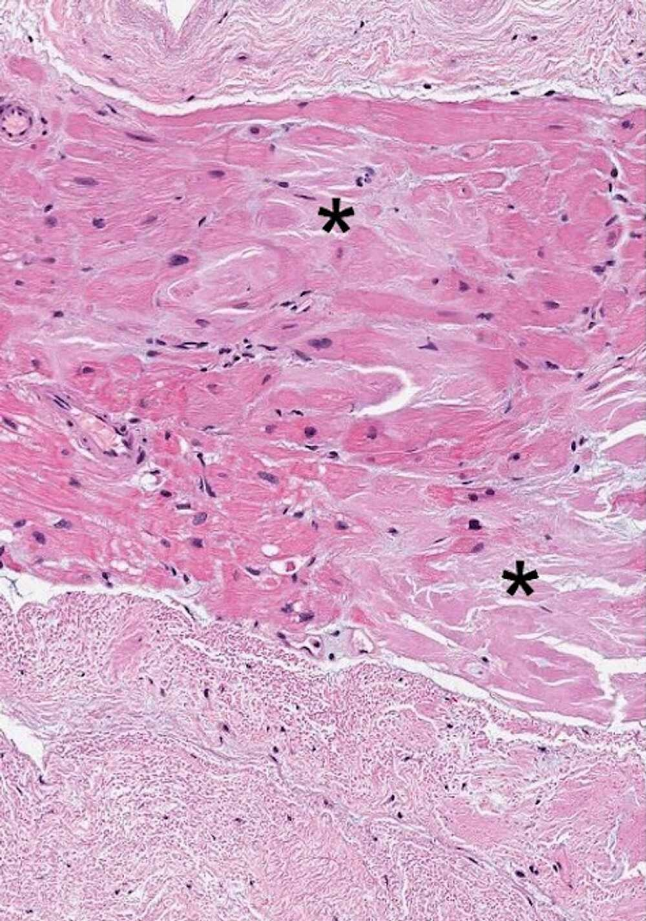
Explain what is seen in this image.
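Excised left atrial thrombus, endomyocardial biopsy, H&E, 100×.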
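This is heart muscle in which the cardiac muscle cells, bright pink with dark oval central nuclei, are pulled apart by a paler pink, glassy material lying between them. The deposited material is smooth and structureless, with almost no nuclei in it, and in places it encircles single muscle cells so they look isolated. Below the muscle lies a band of finely granular pink material with scattered cells.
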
